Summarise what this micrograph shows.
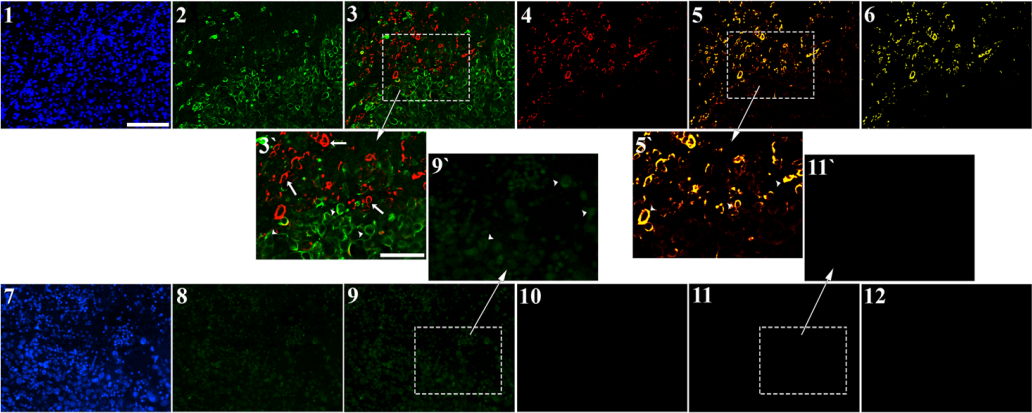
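In the upper row, many cells carry green outlines, and scattered among them are cells ringed in red. In the same upper-row field, red and yellow often coincide to give orange-yellow rings. In the enlarged upper-row detail, white arrowheads and arrows mark individual cells among the green-outlined cells. In the lower row, the nuclei are still dense, but the green is faint and the red and yellow channels are nearly black.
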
